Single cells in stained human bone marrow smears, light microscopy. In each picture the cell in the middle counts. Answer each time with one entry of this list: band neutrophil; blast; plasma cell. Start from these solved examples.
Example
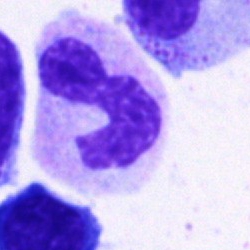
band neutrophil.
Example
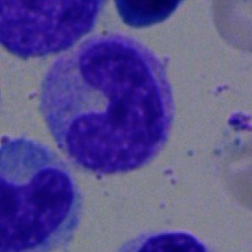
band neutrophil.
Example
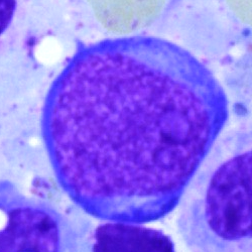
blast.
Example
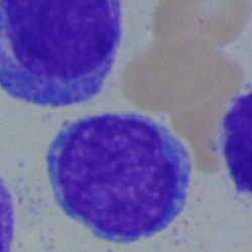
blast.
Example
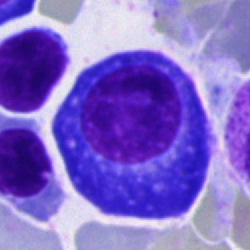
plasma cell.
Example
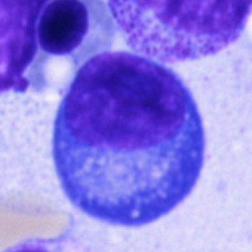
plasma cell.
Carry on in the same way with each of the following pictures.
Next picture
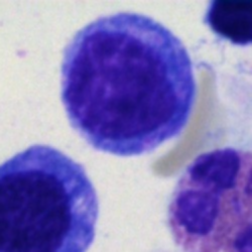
blast.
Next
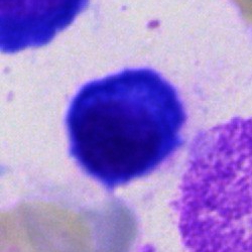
plasma cell.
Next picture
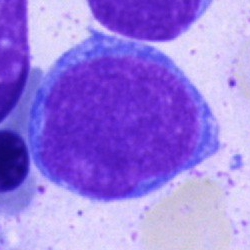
blast.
